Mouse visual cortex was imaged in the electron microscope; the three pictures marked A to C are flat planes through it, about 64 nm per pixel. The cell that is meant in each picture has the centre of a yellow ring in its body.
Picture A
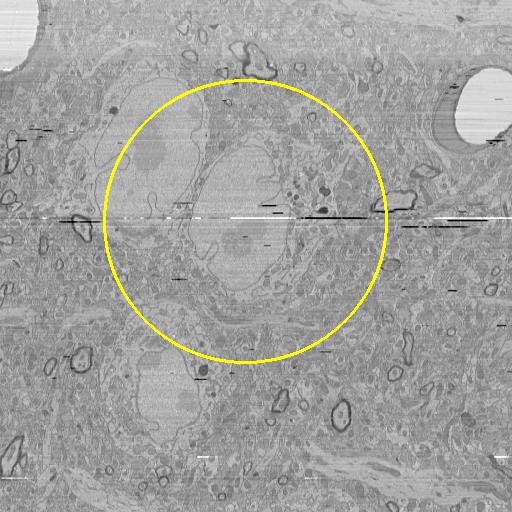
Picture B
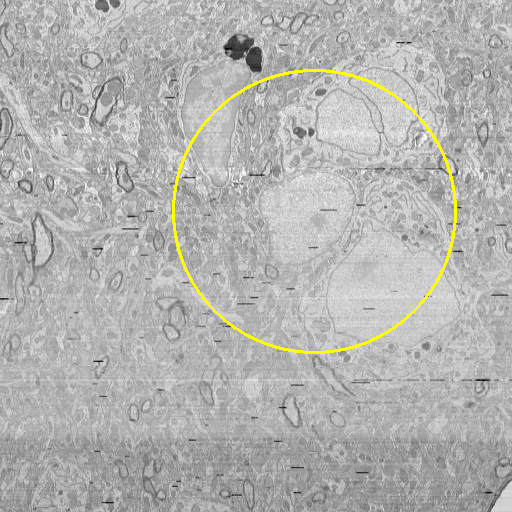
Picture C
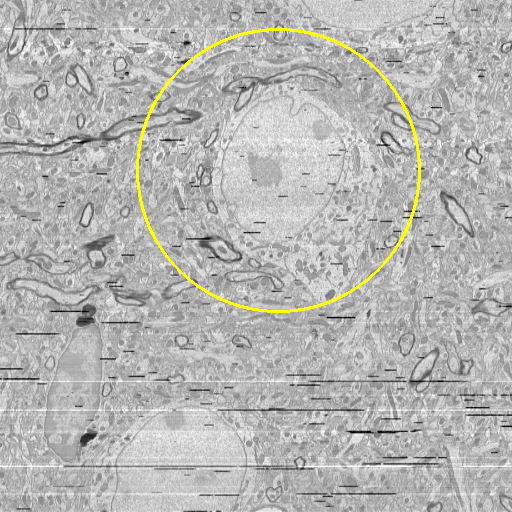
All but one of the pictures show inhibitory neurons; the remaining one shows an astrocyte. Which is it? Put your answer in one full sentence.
The picture with the astrocyte is B.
